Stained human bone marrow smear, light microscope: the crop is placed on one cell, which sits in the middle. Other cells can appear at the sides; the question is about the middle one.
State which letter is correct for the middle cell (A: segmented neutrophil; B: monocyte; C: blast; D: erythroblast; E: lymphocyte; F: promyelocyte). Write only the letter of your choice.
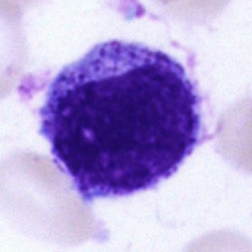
F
